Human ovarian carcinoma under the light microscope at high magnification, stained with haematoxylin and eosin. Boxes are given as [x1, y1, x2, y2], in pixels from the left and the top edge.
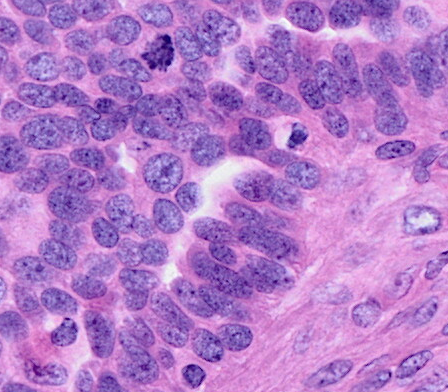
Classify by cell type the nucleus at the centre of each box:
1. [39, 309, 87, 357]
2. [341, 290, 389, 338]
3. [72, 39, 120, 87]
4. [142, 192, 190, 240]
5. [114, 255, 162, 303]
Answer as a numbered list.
1. macrophage or monocyte
2. fibroblast
3. carcinoma cell
4. carcinoma cell
5. carcinoma cell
